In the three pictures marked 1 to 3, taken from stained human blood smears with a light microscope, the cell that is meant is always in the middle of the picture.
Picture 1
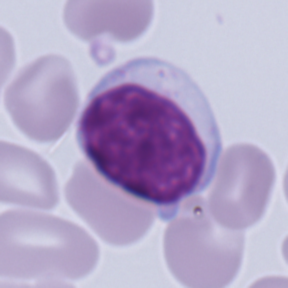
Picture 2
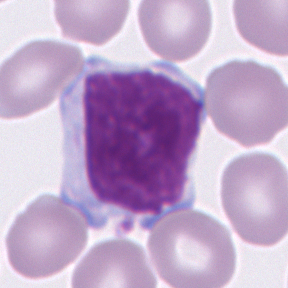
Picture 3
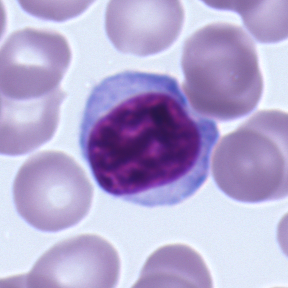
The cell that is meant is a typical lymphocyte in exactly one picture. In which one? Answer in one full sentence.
Picture 3 is the one that shows the typical lymphocyte.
